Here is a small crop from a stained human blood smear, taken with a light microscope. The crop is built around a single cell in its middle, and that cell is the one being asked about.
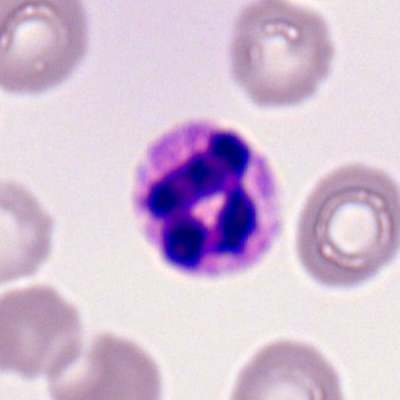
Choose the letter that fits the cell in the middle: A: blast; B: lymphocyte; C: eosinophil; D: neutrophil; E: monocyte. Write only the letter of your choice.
D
